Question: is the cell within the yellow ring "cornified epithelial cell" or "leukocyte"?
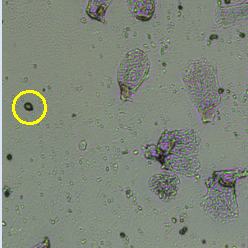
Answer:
leukocyte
